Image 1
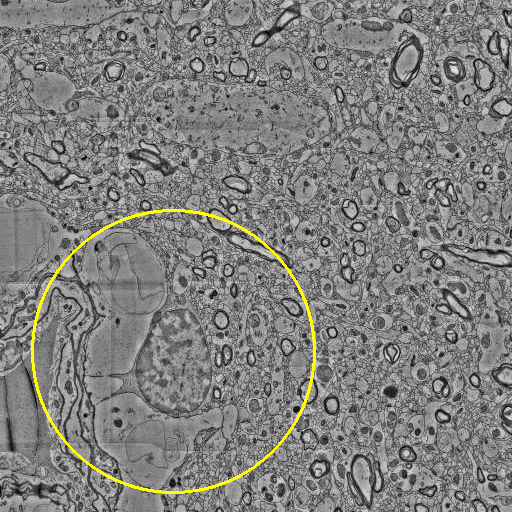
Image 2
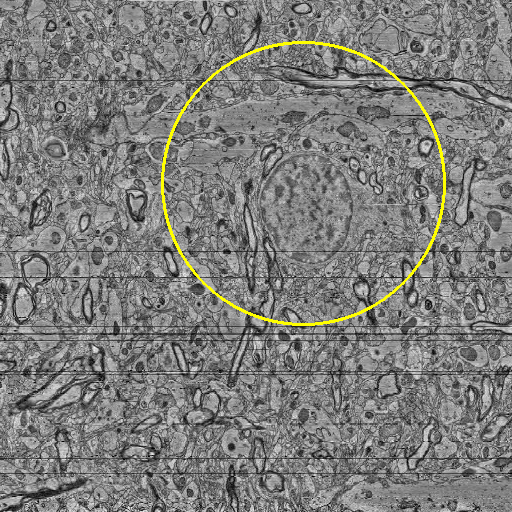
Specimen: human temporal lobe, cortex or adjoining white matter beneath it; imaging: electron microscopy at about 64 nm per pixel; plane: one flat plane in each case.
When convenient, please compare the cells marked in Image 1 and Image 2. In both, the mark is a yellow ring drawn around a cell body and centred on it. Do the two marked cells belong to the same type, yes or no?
yes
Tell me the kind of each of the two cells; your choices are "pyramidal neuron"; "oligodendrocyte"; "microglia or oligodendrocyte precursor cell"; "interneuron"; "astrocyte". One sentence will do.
Each of the two pictures has an oligodendrocyte at the ring centre.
